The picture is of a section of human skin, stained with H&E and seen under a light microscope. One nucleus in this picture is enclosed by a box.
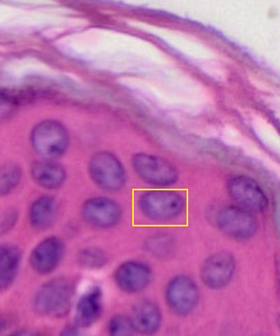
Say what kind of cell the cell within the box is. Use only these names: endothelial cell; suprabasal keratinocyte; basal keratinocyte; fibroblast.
suprabasal keratinocyte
